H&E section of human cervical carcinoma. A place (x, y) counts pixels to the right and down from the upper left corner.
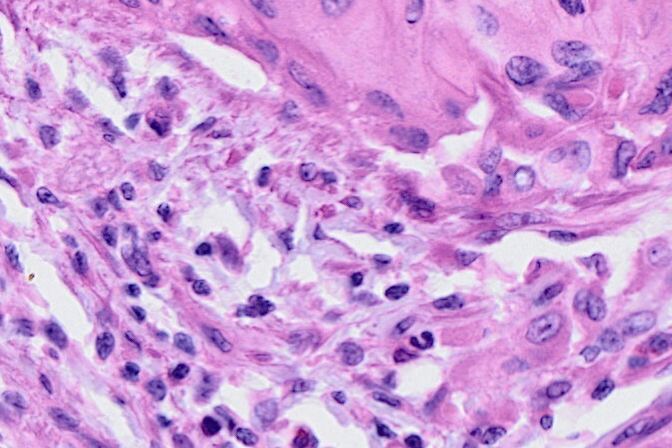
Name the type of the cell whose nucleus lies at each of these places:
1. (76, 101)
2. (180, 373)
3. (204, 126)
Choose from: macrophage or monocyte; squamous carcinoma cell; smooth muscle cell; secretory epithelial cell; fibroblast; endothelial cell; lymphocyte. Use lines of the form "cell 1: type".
cell 1: fibroblast
cell 2: lymphocyte
cell 3: fibroblast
